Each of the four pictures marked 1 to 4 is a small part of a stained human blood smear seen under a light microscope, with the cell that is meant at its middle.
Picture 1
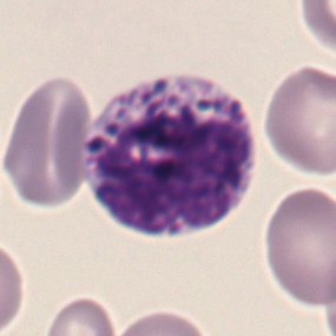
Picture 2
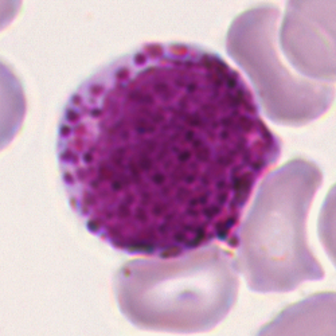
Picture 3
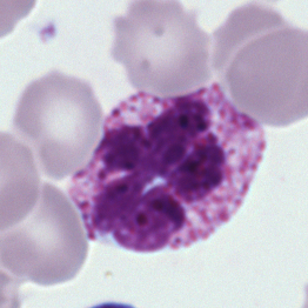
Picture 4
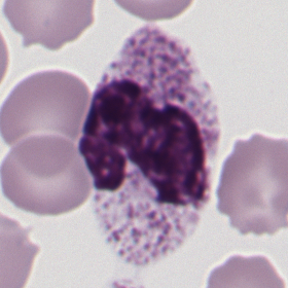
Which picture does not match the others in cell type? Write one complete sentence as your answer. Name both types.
The different one is picture 4; it shows a segmented neutrophil, whereas all the others show basophils.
